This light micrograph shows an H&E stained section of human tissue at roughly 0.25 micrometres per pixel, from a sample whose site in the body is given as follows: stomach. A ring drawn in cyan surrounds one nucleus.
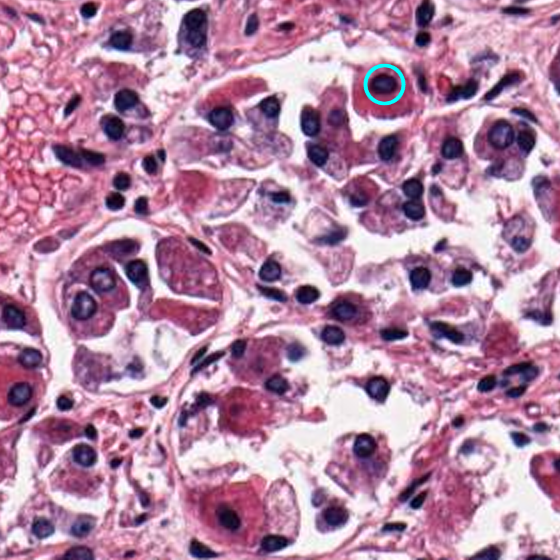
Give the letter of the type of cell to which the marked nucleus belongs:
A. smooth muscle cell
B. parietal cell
B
